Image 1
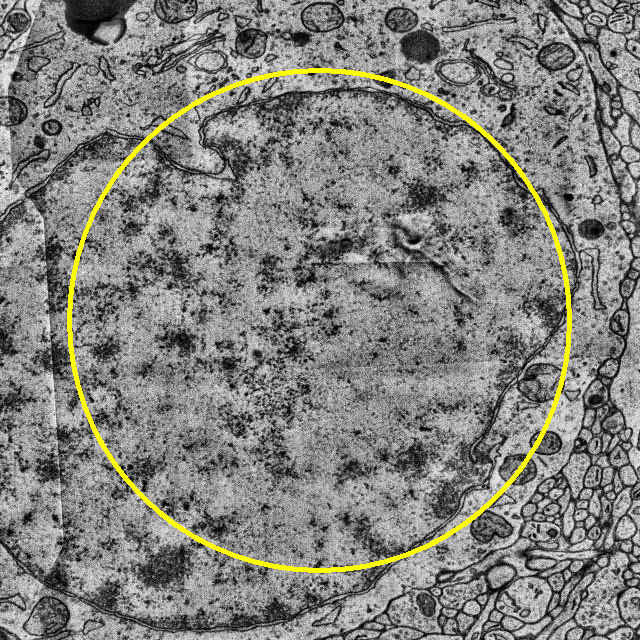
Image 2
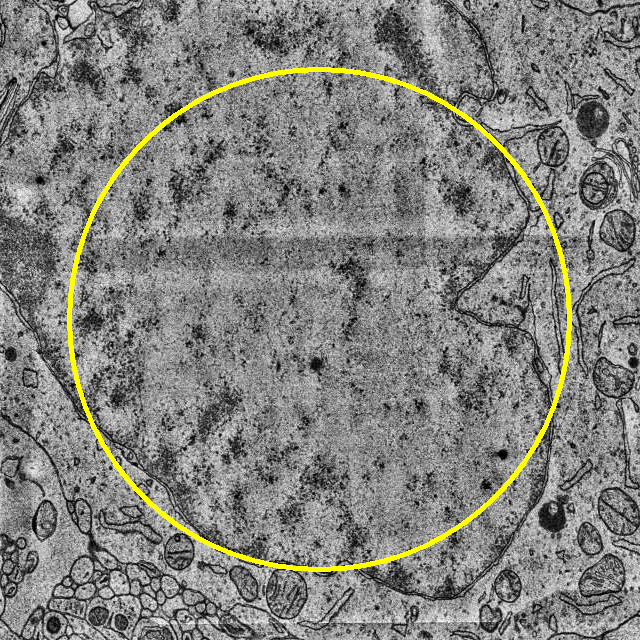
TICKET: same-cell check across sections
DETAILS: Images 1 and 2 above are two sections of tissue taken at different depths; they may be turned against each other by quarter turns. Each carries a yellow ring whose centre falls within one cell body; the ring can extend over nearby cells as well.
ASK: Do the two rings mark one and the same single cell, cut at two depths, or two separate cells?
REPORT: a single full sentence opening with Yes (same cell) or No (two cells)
Yes, the cell marked in each ring is one and the same.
